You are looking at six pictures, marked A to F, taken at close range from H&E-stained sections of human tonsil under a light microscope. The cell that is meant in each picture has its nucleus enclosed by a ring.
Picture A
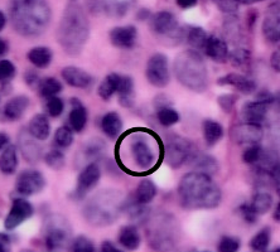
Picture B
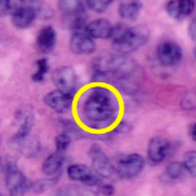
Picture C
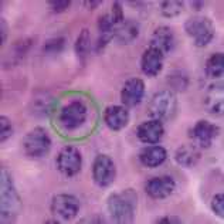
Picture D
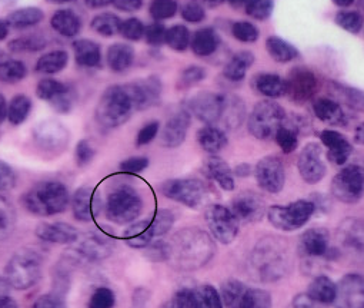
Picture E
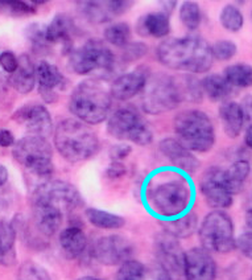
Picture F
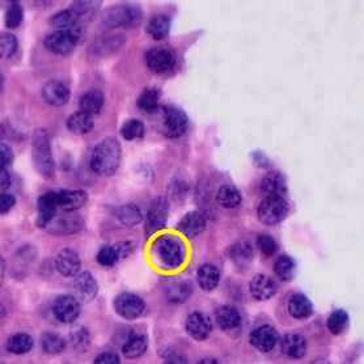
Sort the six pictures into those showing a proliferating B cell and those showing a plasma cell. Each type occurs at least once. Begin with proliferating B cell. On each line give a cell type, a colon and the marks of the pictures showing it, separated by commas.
proliferating B cell: A, B, D, E
plasma cell: C, F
